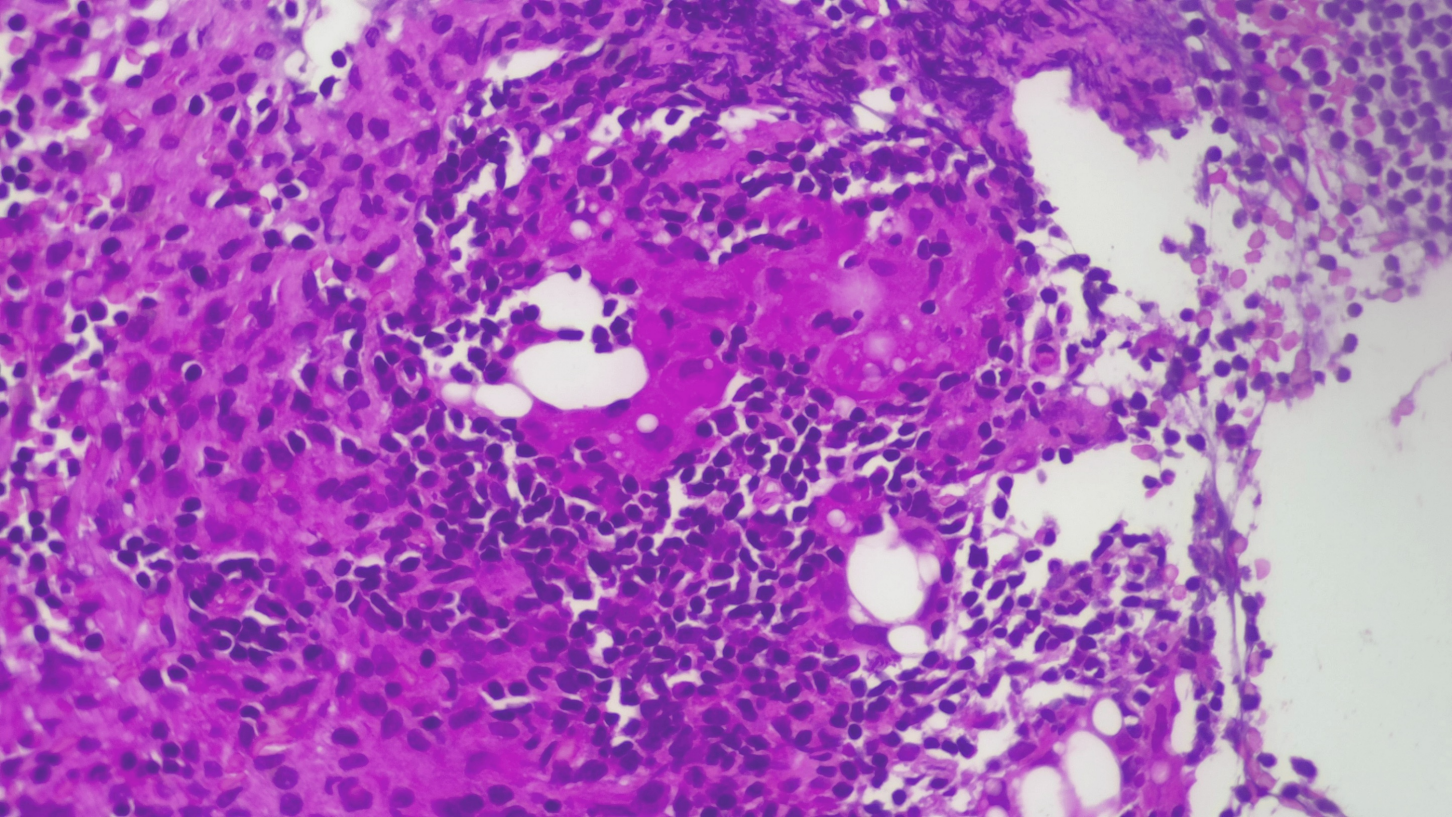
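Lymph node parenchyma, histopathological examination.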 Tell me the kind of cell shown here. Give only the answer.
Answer: Multinucleated giant cells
